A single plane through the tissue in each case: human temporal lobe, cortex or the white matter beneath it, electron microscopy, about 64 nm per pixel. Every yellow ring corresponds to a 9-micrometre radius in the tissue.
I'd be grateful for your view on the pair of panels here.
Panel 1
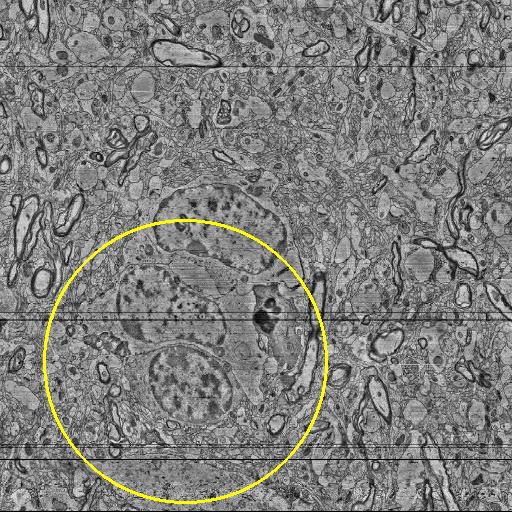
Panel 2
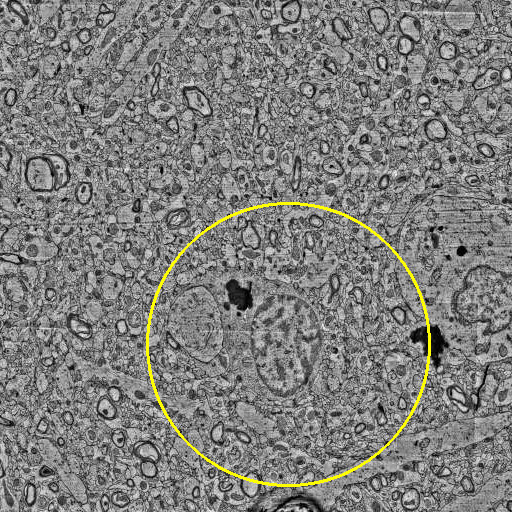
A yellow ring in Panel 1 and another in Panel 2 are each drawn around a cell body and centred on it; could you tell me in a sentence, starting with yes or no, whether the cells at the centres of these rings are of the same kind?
Yes, they are the same kind of cell.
